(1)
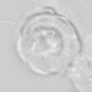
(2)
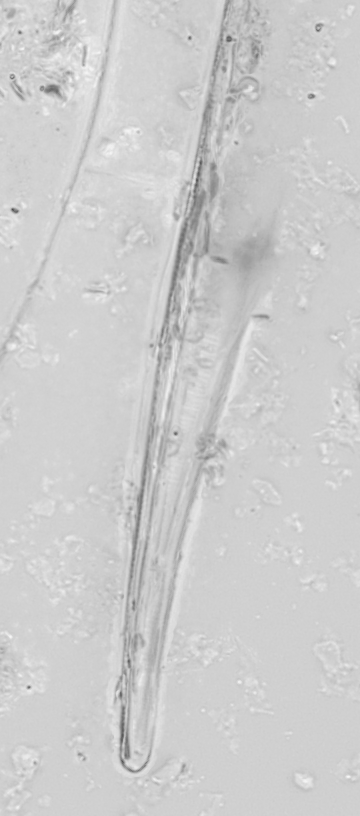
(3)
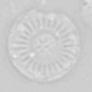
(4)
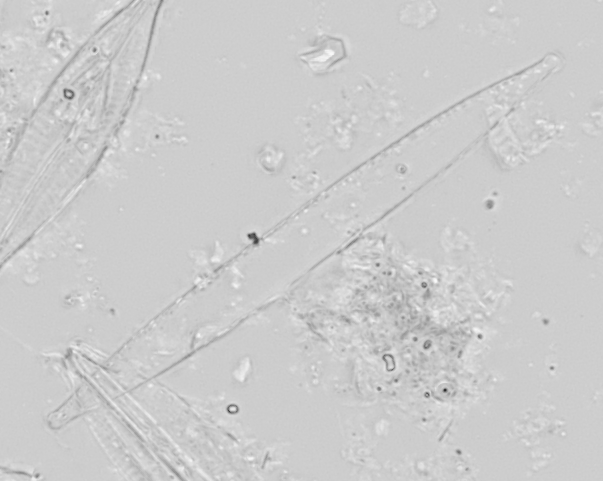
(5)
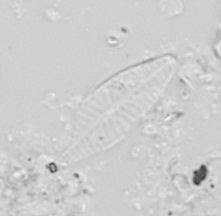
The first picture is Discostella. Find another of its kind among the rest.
Picture 3.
